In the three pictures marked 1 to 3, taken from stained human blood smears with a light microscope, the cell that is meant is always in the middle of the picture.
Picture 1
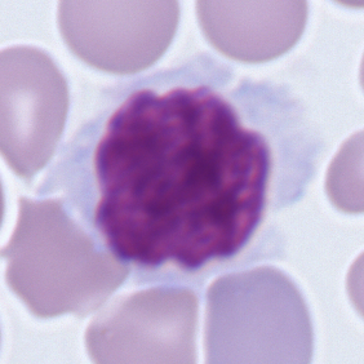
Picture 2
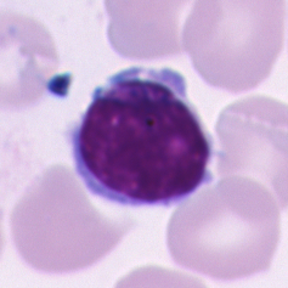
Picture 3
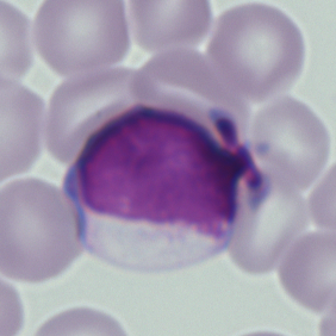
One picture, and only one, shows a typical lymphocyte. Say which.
2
